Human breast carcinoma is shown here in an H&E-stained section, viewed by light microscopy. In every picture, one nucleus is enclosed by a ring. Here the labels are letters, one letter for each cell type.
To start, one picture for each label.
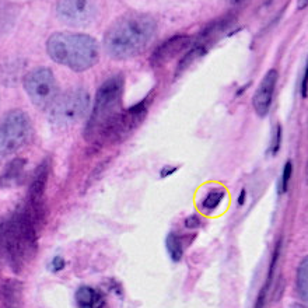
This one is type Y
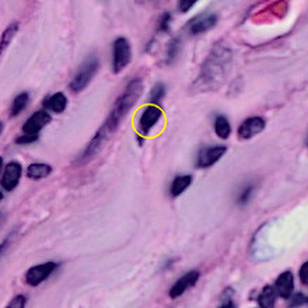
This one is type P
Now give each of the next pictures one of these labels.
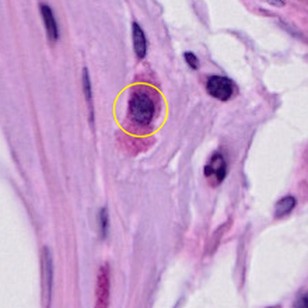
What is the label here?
type Y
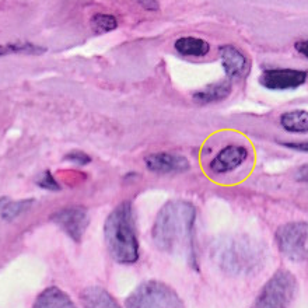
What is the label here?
type Y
